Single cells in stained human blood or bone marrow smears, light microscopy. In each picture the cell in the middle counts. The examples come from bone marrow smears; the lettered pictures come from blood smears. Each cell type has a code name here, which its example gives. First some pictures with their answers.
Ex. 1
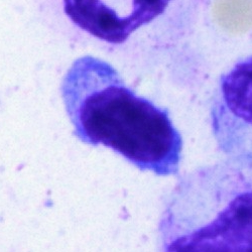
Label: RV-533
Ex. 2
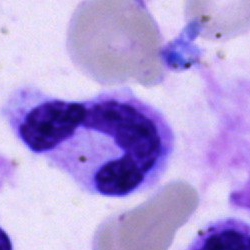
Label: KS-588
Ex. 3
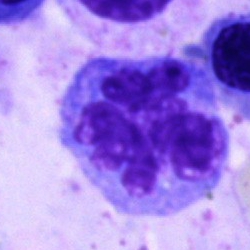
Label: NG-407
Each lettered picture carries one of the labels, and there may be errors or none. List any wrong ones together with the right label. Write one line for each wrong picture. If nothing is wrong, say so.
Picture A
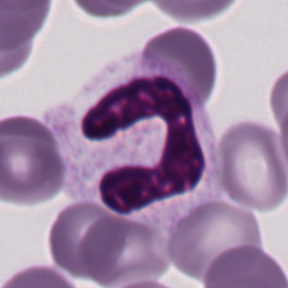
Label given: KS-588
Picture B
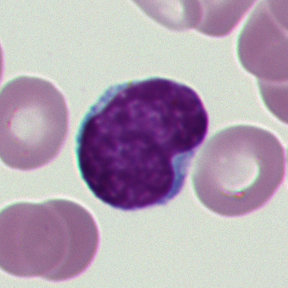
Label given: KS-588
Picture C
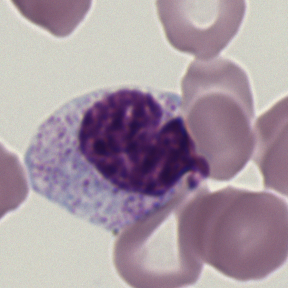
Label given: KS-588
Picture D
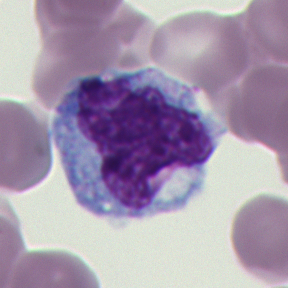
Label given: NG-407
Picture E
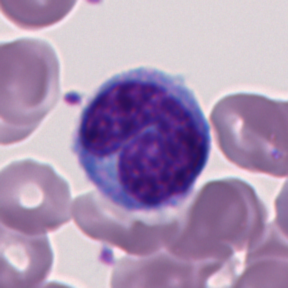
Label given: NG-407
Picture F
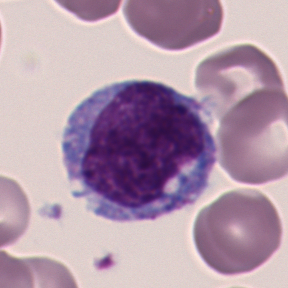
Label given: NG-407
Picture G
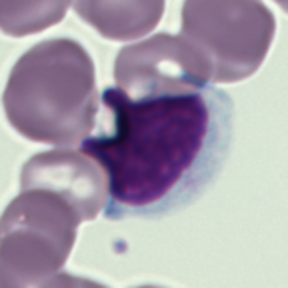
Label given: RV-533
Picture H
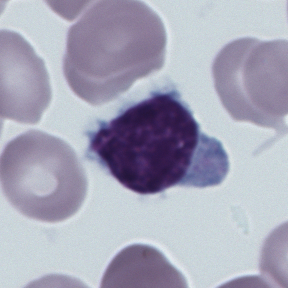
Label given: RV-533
B: RV-533, not KS-588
